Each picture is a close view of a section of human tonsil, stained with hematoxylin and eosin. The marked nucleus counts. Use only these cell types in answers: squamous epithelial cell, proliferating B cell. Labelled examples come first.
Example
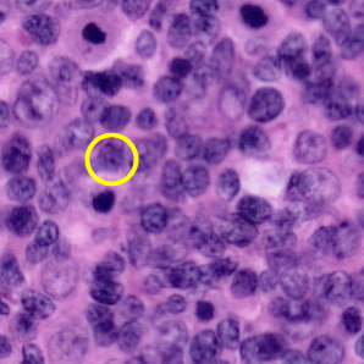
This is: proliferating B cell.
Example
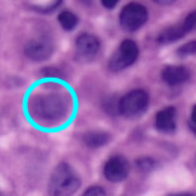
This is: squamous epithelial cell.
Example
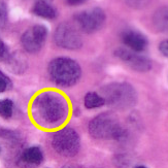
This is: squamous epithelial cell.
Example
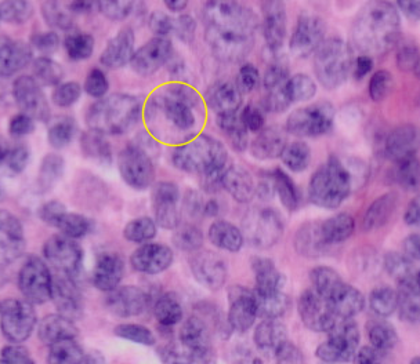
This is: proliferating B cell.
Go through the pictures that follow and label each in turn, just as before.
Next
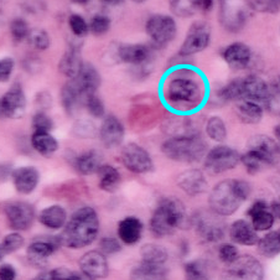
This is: proliferating B cell.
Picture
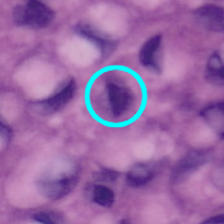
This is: squamous epithelial cell.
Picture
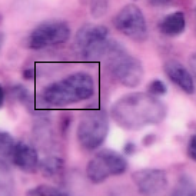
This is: proliferating B cell.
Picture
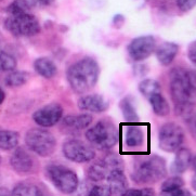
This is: proliferating B cell.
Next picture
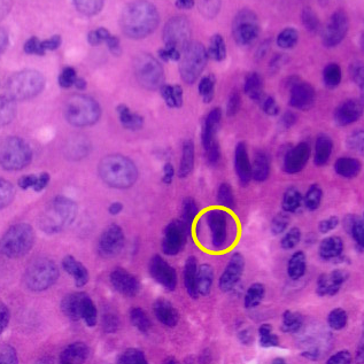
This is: squamous epithelial cell.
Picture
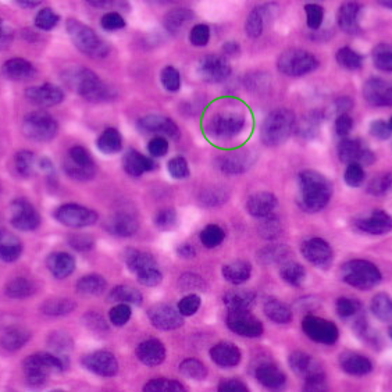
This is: squamous epithelial cell.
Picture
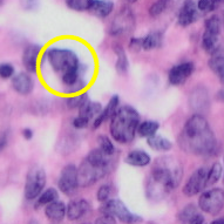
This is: proliferating B cell.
